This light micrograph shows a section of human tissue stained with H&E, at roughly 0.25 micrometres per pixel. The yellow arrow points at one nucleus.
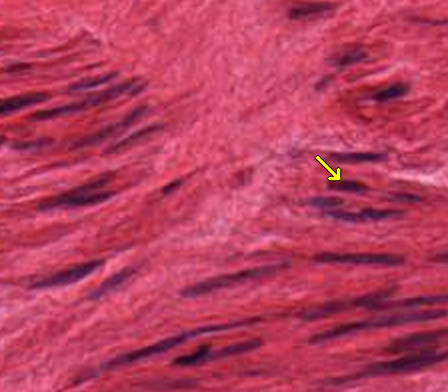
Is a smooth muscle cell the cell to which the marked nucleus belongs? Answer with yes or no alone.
yes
